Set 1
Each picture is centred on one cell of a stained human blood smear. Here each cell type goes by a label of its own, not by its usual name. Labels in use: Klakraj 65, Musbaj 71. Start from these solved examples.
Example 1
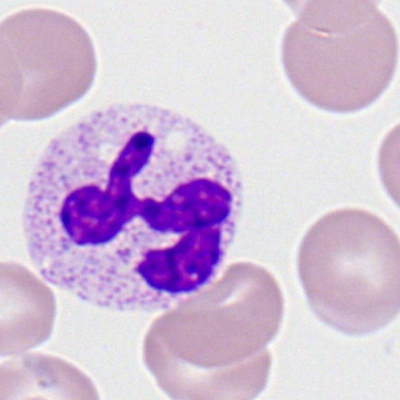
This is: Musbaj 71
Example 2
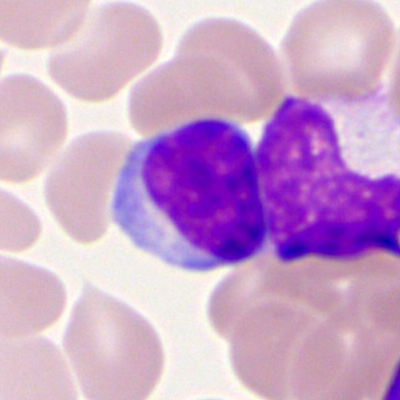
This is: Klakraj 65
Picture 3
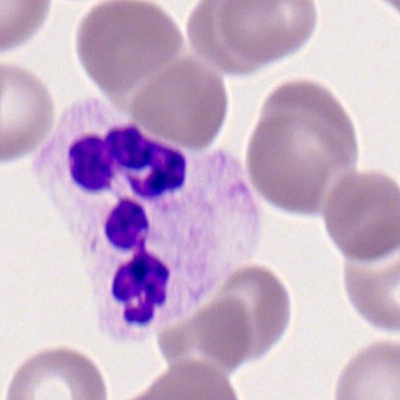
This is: Musbaj 71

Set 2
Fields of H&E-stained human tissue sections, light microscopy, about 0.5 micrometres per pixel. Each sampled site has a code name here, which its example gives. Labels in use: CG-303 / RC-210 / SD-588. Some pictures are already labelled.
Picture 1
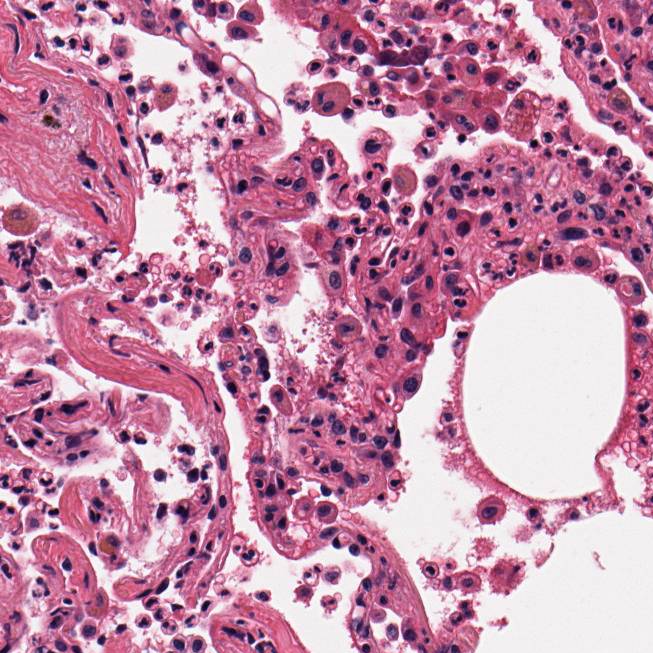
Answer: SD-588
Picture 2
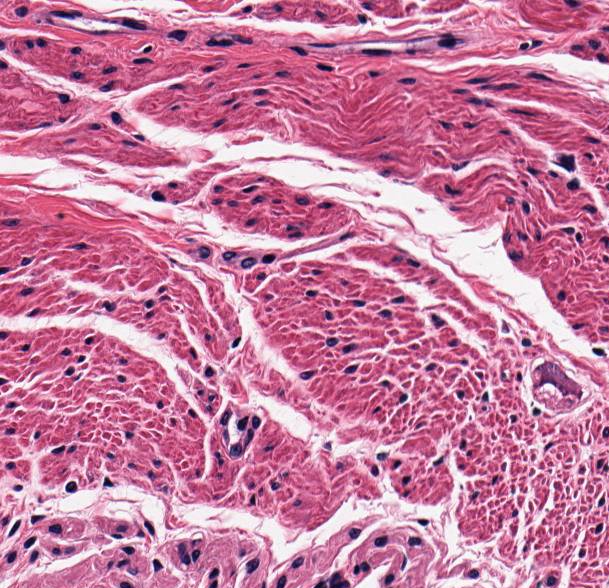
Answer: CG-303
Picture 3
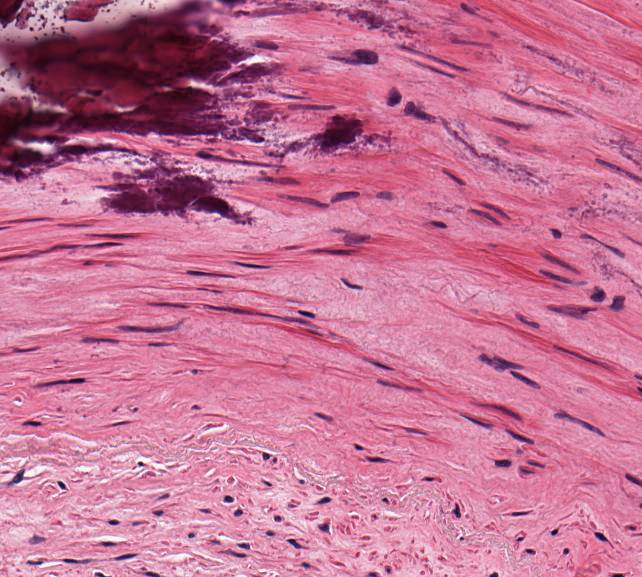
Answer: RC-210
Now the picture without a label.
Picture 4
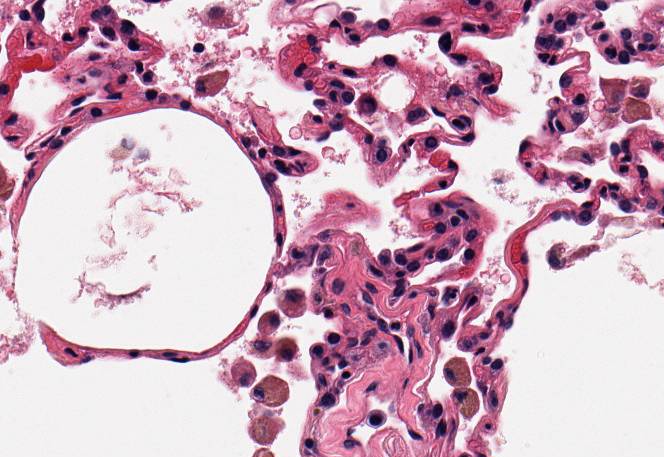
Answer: SD-588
